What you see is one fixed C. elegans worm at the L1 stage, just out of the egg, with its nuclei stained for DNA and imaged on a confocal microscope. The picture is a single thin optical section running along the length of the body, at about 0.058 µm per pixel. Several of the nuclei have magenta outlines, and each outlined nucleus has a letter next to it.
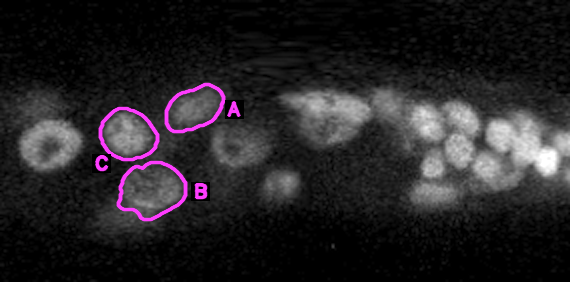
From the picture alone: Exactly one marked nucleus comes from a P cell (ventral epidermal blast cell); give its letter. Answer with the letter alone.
C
